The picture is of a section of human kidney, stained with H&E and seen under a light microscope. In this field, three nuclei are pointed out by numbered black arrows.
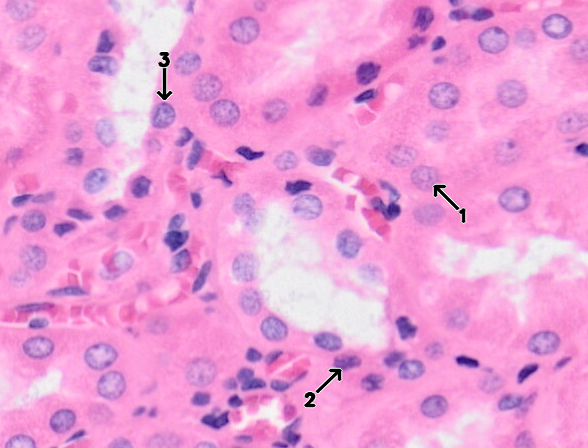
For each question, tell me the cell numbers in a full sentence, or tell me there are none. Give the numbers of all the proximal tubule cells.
The numbered cells include exactly one that is a proximal tubule cell, which is cell 1.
